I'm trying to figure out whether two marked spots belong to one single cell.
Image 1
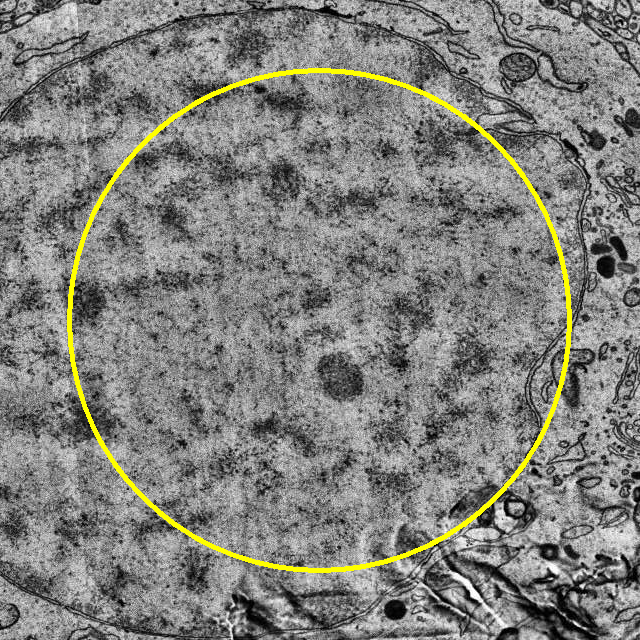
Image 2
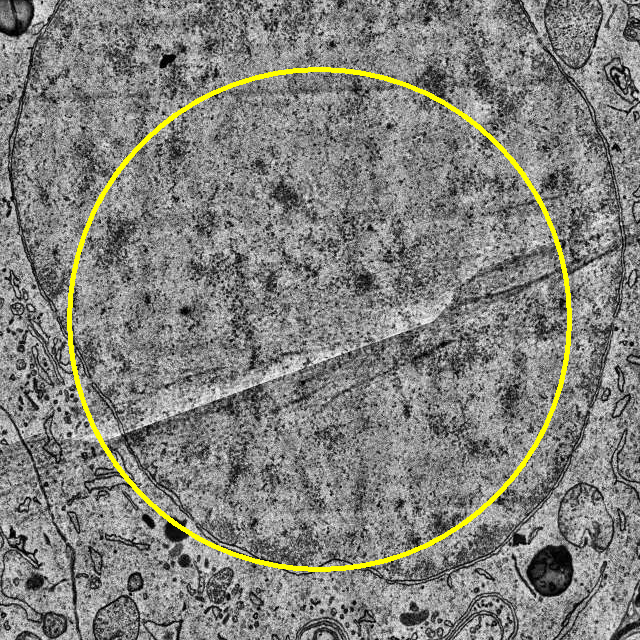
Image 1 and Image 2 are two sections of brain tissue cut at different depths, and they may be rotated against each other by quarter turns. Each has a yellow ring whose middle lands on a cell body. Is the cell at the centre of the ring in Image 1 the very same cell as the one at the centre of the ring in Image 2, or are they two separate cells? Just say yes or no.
yes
